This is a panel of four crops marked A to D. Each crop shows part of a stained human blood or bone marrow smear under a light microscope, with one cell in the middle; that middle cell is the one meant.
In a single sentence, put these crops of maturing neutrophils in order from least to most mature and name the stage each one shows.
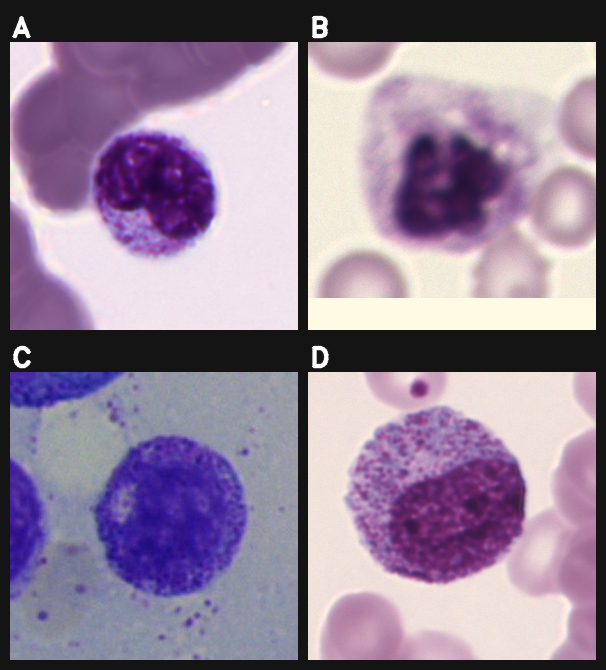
Reading from least to most mature, the order comes out as crop D (a promyelocyte), crop C (a myelocyte), crop A (a metamyelocyte) and crop B (a segmented neutrophil).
